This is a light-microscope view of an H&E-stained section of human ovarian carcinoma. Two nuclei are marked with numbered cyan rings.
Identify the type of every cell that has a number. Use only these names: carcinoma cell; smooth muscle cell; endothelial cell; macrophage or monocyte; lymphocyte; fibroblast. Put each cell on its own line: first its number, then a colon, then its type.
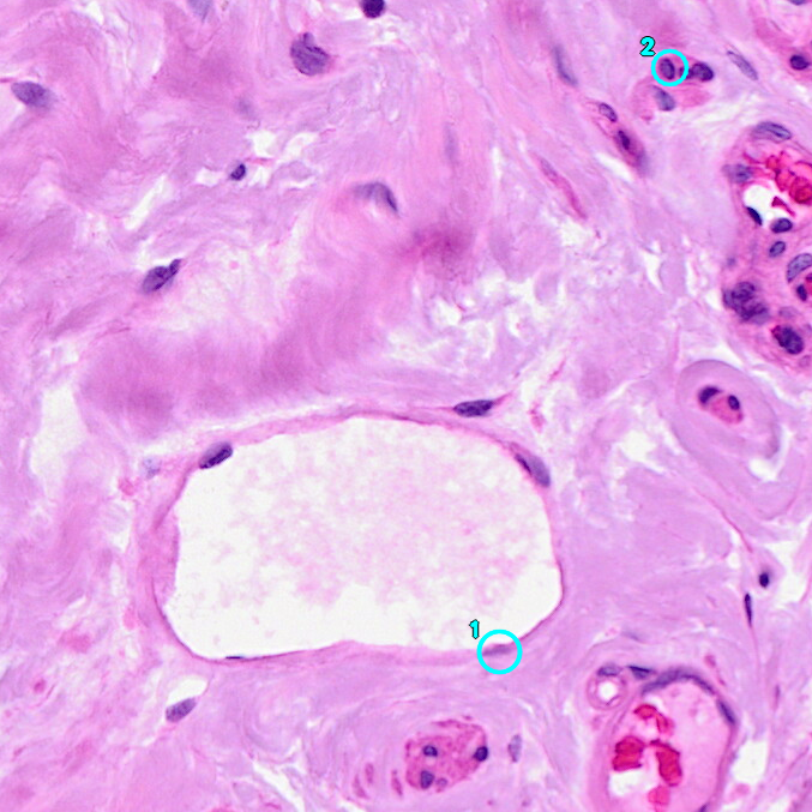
1: endothelial cell
2: smooth muscle cell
